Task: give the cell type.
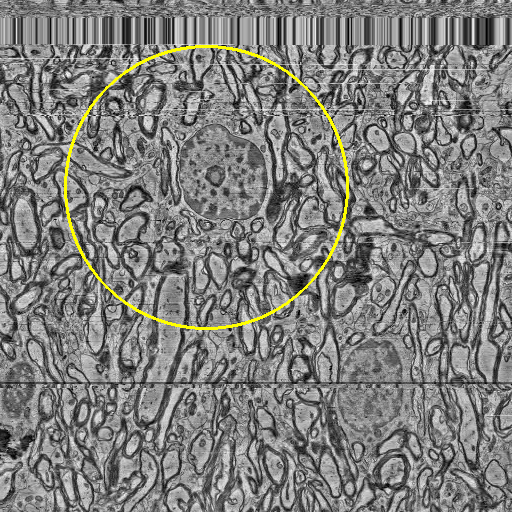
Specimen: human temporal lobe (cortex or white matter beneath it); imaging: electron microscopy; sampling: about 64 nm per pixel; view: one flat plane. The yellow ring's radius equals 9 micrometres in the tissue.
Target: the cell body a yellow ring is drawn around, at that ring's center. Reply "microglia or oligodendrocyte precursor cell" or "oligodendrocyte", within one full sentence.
In this picture, the cell whose body lies at the ring's center is a microglial cell or oligodendrocyte precursor cell.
